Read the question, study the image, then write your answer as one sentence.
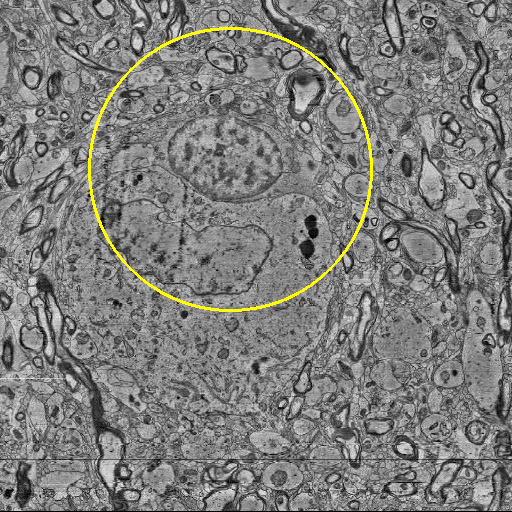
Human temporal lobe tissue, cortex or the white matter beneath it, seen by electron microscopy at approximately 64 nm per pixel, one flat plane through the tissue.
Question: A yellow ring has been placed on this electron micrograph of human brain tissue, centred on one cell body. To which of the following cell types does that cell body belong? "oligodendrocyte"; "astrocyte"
That cell body belongs to an oligodendrocyte.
